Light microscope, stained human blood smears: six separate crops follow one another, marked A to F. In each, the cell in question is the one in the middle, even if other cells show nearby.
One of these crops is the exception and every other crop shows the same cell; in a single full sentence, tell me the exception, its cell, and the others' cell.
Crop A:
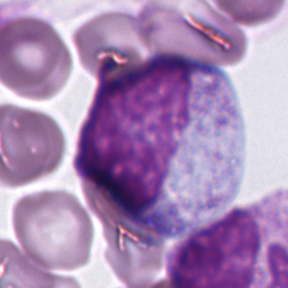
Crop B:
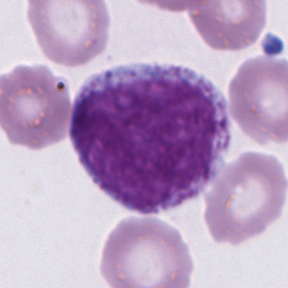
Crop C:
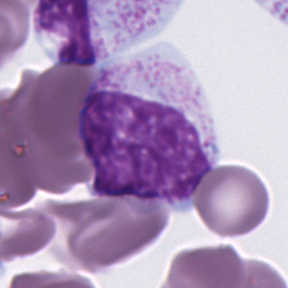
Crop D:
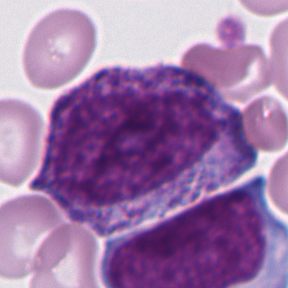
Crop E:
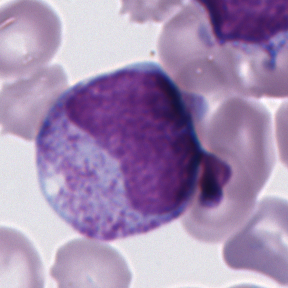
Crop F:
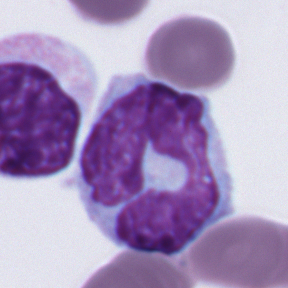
Unlike the other crops, all showing myelocytes, crop F is a monocyte.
